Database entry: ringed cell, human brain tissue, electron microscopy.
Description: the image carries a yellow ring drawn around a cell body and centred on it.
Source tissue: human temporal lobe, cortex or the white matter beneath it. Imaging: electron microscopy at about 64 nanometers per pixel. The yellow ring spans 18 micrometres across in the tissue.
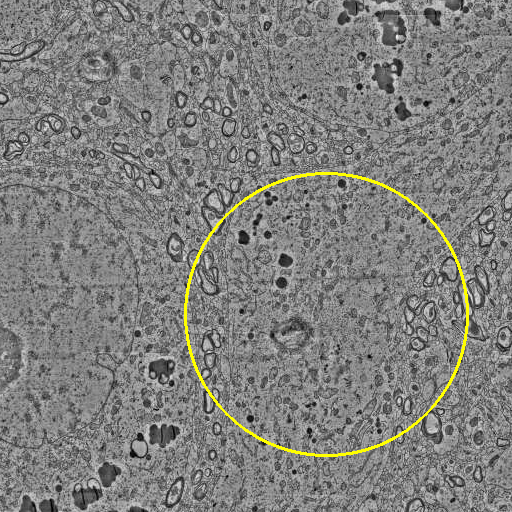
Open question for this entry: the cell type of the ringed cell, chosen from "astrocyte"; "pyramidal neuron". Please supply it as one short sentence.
The ringed cell is a pyramidal neuron.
